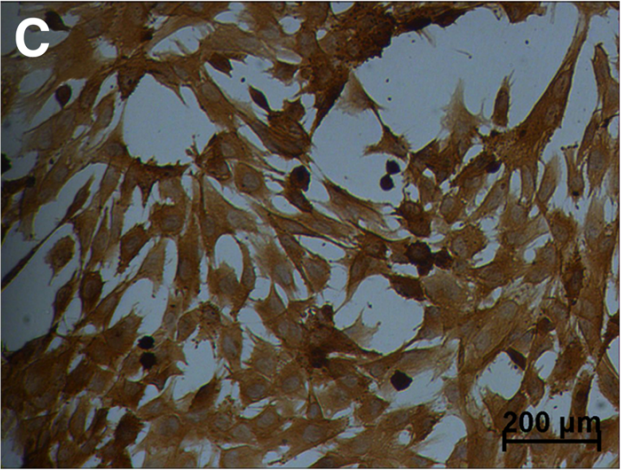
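The cells are polygonal to stellate and spread flat, with several tapering processes that touch neighbouring cells. Their nuclei are round to oval and paler than the surrounding cytoplasm. The cells form a loose network with clear, unstained gaps of bare substrate between them. A few small, rounded cells are stained much darker than the rest.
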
